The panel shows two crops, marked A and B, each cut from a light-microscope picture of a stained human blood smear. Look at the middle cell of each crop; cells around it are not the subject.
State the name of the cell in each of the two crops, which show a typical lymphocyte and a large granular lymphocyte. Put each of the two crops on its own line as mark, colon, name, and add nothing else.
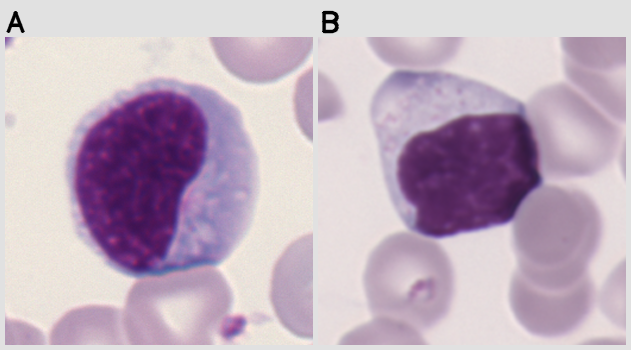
A: typical lymphocyte
B: large granular lymphocyte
